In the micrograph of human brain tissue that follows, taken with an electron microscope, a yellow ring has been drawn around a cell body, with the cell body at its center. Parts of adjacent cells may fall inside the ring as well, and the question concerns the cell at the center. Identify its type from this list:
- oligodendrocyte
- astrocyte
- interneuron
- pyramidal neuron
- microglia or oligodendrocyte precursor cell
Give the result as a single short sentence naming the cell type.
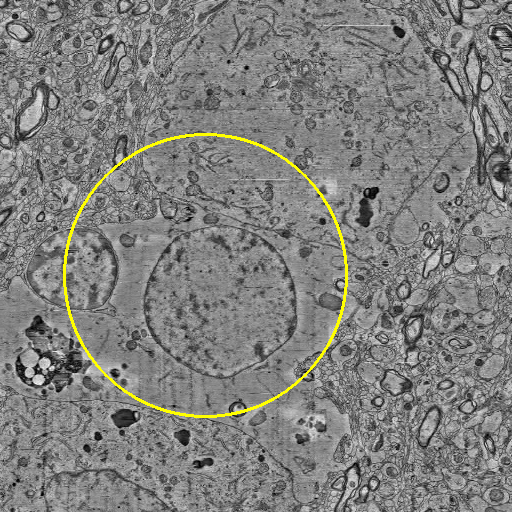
The ring is centered on an astrocyte.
